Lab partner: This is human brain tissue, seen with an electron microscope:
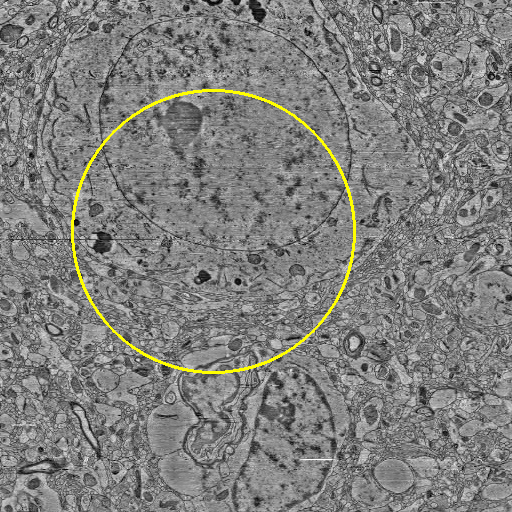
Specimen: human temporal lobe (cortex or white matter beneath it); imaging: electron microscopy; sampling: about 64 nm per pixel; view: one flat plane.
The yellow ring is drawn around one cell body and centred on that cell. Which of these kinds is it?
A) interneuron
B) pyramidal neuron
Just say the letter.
B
